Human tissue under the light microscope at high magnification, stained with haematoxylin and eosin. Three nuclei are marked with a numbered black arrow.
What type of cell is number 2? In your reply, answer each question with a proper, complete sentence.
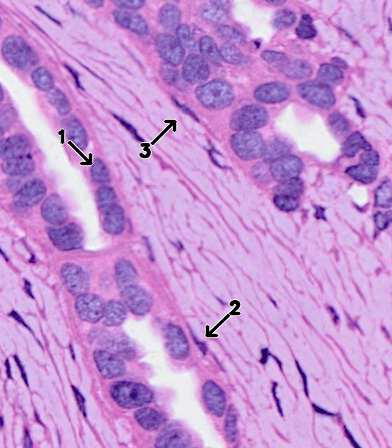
The cell pointed out by number 2 is a fibroblast.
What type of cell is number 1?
Corresponding to a carcinoma cell is the cell labelled 1.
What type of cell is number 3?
In this section, the cell tagged 3 is a fibroblast.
